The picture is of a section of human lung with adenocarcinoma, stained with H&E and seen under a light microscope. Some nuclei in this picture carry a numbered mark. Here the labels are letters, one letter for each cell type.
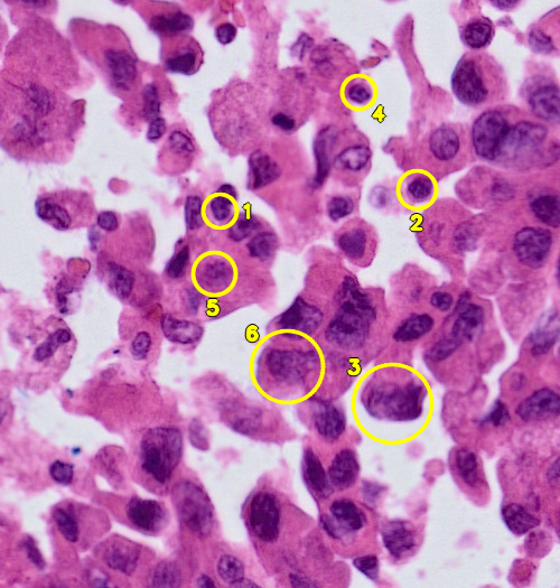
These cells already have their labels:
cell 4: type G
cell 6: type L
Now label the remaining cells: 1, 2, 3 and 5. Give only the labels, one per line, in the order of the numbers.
type G
type G
type L
type L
